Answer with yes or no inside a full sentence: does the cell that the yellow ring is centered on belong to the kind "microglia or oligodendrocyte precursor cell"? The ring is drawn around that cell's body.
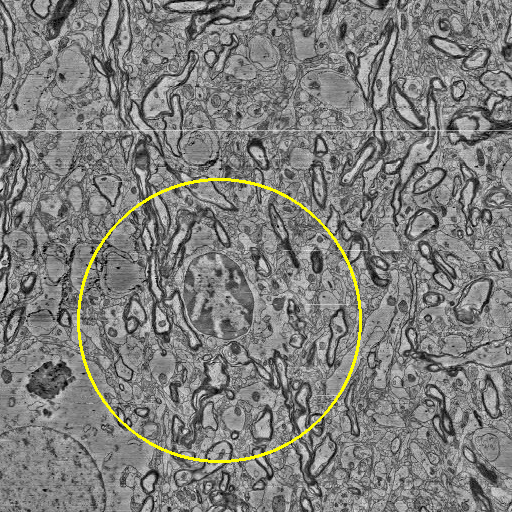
Yes, that kind describes the cell the yellow ring is centered on in the picture.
